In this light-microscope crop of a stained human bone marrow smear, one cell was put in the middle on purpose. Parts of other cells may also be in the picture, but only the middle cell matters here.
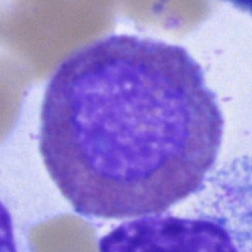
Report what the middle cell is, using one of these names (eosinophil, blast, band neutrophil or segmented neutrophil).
eosinophil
